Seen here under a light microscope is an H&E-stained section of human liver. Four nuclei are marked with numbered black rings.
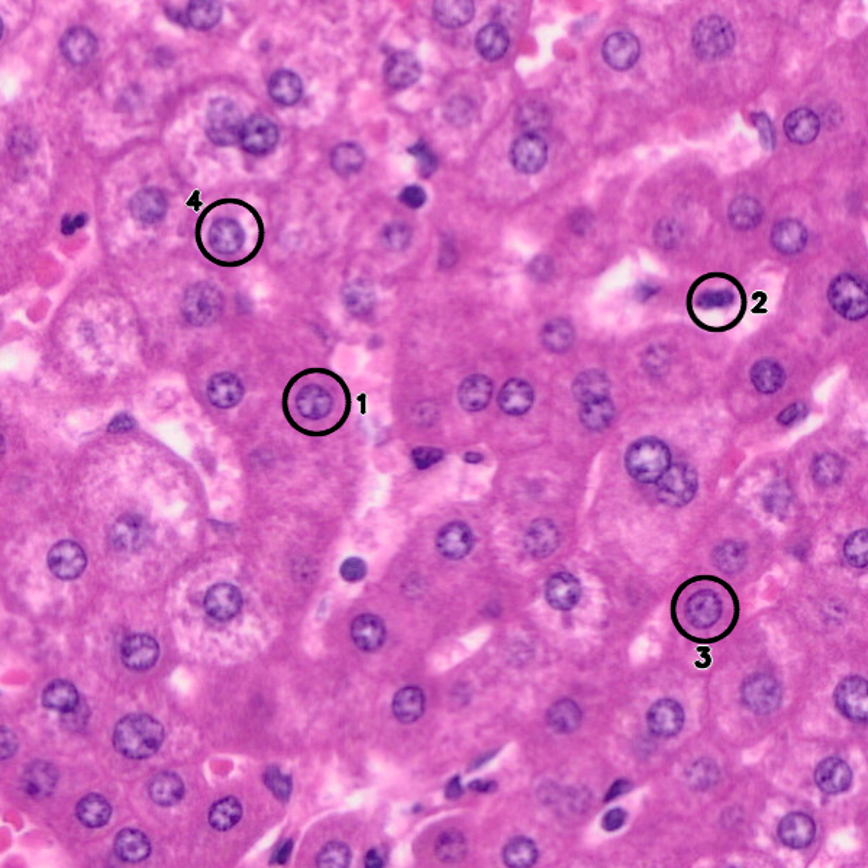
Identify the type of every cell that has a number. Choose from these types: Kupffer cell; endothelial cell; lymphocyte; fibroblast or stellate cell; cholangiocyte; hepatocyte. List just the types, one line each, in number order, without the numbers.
hepatocyte
lymphocyte
hepatocyte
hepatocyte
